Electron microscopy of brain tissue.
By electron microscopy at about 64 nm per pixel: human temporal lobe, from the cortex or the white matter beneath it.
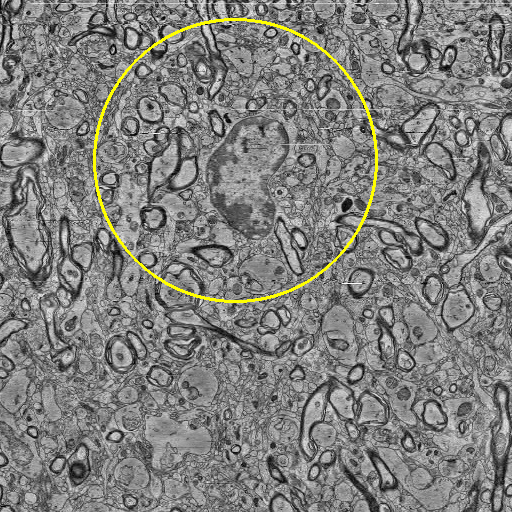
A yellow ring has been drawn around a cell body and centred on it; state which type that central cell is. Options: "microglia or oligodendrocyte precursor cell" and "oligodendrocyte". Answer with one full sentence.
The cell at the middle of the yellow ring is a microglial cell or oligodendrocyte precursor cell in this picture.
